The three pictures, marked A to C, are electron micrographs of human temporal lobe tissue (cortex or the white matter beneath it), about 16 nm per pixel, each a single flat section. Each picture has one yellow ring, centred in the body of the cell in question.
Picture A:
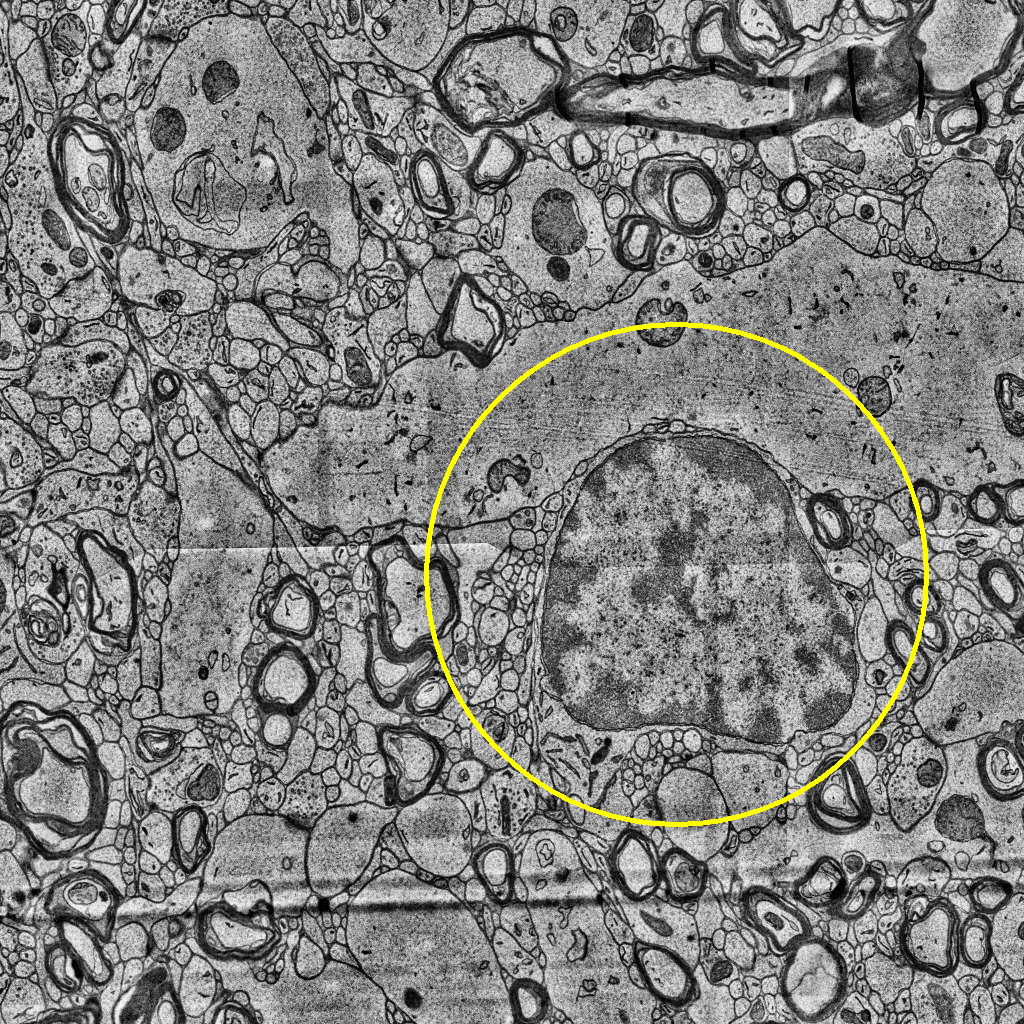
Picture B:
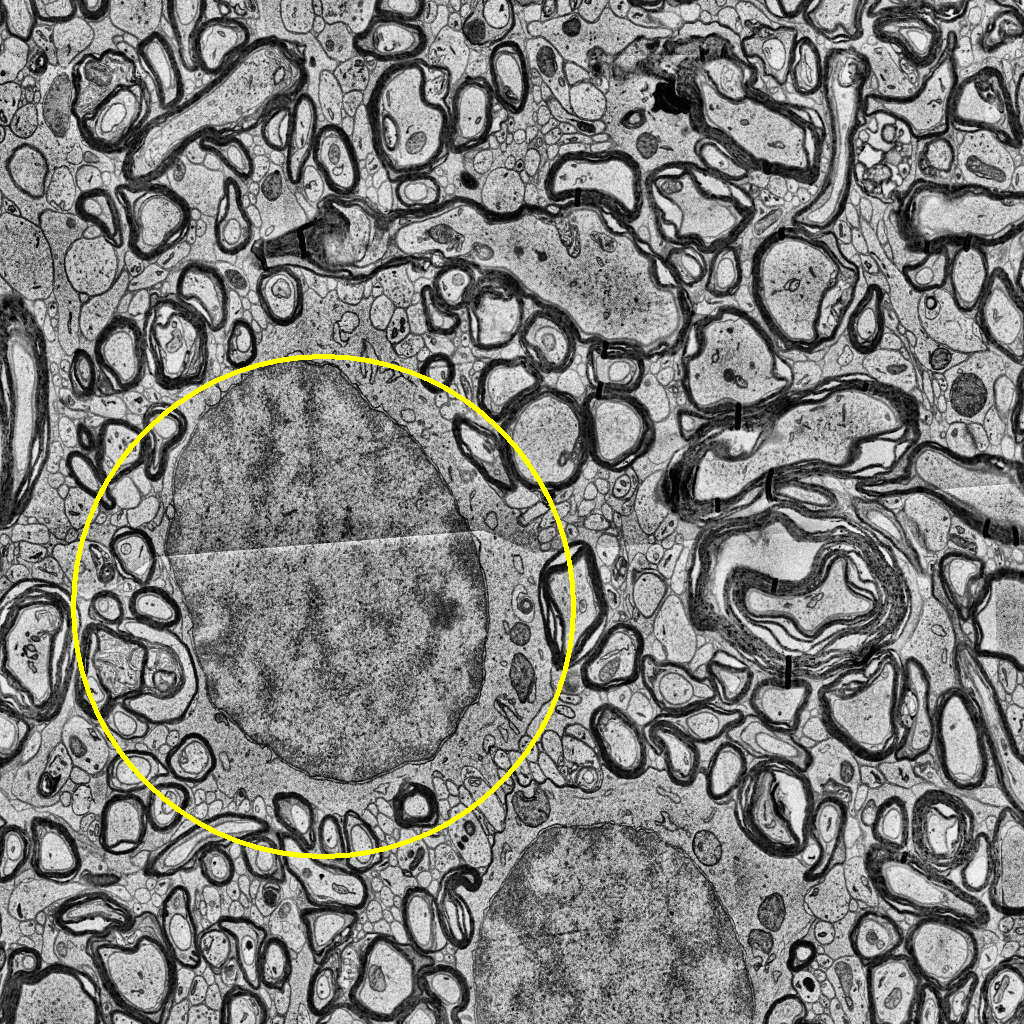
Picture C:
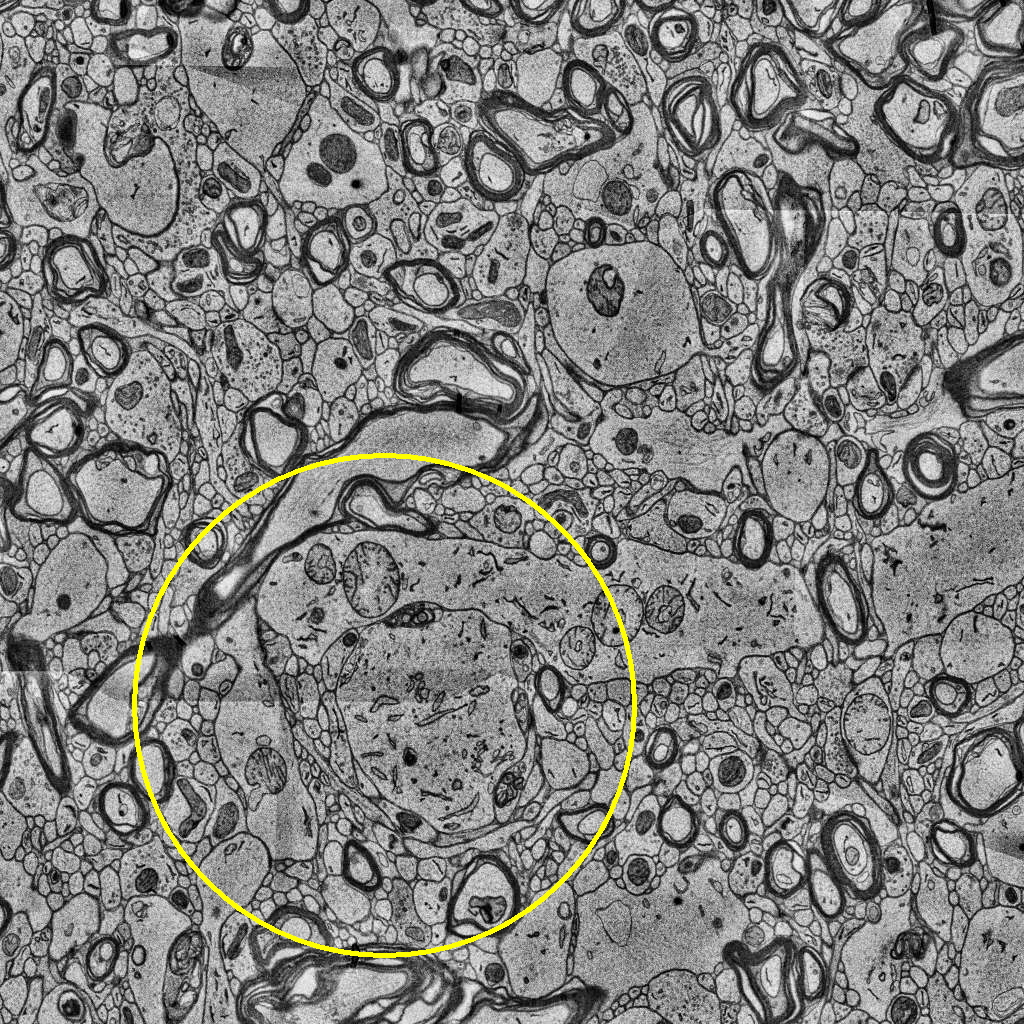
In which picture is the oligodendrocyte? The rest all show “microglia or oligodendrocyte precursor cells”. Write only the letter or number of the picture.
B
